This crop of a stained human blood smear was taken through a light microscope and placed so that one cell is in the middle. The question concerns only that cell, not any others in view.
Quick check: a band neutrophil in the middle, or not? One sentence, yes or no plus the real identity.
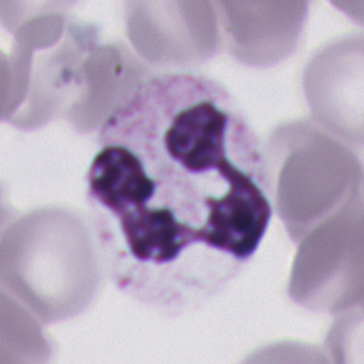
No, the cell in the middle is recognised as a segmented neutrophil rather than a band neutrophil.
